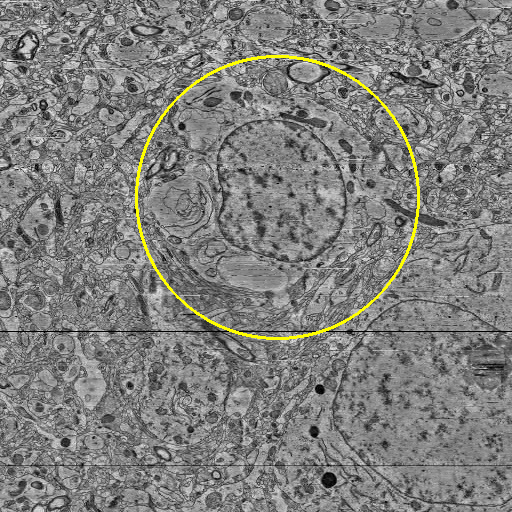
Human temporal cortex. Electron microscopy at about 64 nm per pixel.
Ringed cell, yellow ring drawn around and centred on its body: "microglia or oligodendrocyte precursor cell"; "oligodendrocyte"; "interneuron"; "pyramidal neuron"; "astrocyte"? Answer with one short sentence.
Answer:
This ringed cell is an astrocyte.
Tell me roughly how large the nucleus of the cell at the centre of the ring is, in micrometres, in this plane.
Approximately 10 x 9 micrometres in this plane.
